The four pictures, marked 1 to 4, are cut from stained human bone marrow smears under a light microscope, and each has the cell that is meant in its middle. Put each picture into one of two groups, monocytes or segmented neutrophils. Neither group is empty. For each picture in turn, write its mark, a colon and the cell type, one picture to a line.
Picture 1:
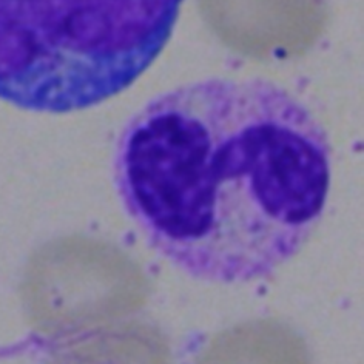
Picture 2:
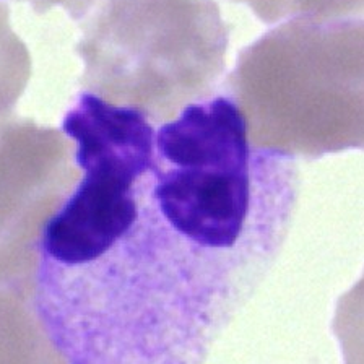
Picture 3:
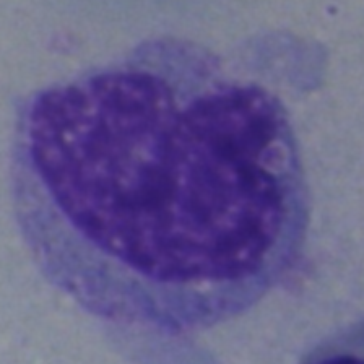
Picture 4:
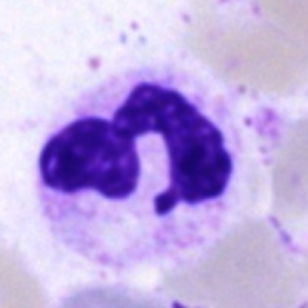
1: segmented neutrophil
2: segmented neutrophil
3: monocyte
4: segmented neutrophil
